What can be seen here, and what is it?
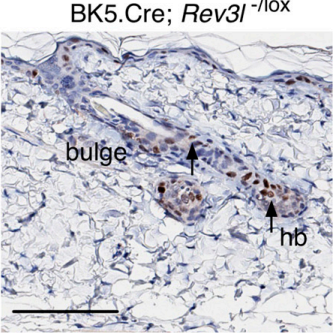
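Many keratinocyte nuclei in the follicle's upper bulge region and its lower end are stained dark brown, while others are blue. Brown nuclei are also scattered in the overlying epidermis. The surrounding dermis is pale and loosely fibrous with sparse blue nuclei.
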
